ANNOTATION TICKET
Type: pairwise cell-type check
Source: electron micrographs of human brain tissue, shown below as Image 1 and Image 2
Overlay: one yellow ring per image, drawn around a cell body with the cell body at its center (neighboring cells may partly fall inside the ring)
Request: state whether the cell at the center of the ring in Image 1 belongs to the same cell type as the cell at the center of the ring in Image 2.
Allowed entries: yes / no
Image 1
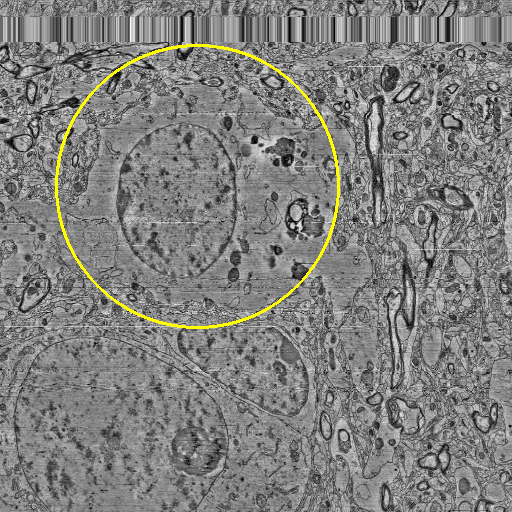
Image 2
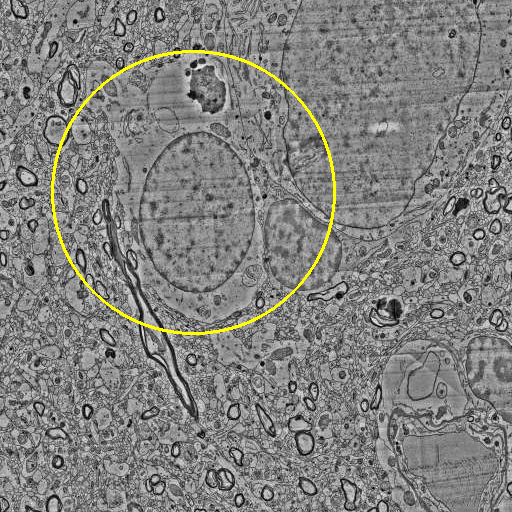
yes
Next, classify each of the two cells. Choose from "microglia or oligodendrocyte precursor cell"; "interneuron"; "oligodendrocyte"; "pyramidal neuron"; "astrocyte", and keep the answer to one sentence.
Each of the two rings surrounds an astrocyte.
